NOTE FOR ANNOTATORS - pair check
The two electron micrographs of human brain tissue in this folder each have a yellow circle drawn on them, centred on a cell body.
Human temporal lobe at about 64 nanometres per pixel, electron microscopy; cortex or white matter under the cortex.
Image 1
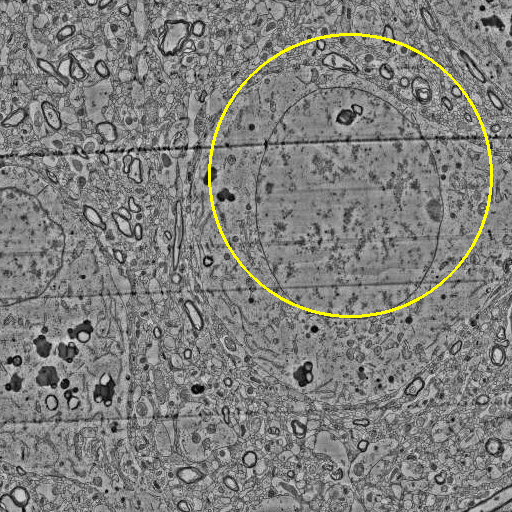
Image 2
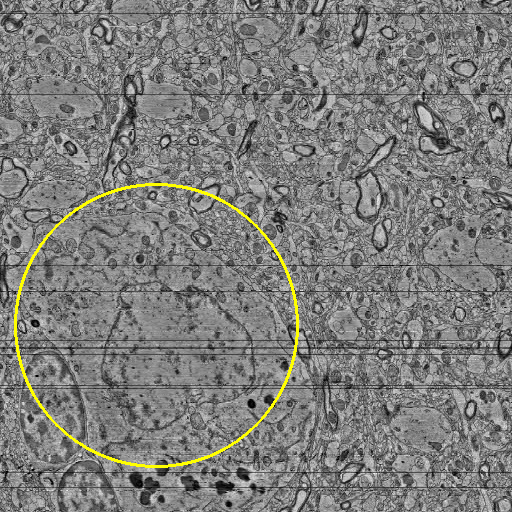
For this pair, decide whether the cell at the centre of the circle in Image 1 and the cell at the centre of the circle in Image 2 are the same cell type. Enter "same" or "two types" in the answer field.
same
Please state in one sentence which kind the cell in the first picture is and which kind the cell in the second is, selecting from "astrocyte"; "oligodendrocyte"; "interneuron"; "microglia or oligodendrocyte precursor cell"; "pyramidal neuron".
Each of the two pictures has a pyramidal neuron at the ring centre.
